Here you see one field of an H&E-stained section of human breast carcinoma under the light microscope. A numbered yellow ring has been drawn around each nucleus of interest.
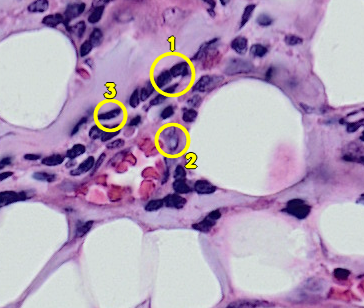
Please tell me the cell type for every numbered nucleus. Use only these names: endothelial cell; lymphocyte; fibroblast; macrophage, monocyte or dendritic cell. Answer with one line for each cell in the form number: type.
1: lymphocyte
2: endothelial cell
3: lymphocyte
